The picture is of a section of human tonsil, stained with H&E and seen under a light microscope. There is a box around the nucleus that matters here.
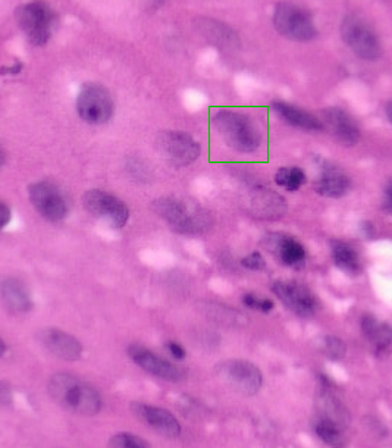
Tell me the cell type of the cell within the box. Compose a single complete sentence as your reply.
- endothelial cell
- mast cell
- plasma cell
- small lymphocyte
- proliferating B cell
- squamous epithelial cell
Speaking plainly, the cell within the box is nothing other than a squamous epithelial cell.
